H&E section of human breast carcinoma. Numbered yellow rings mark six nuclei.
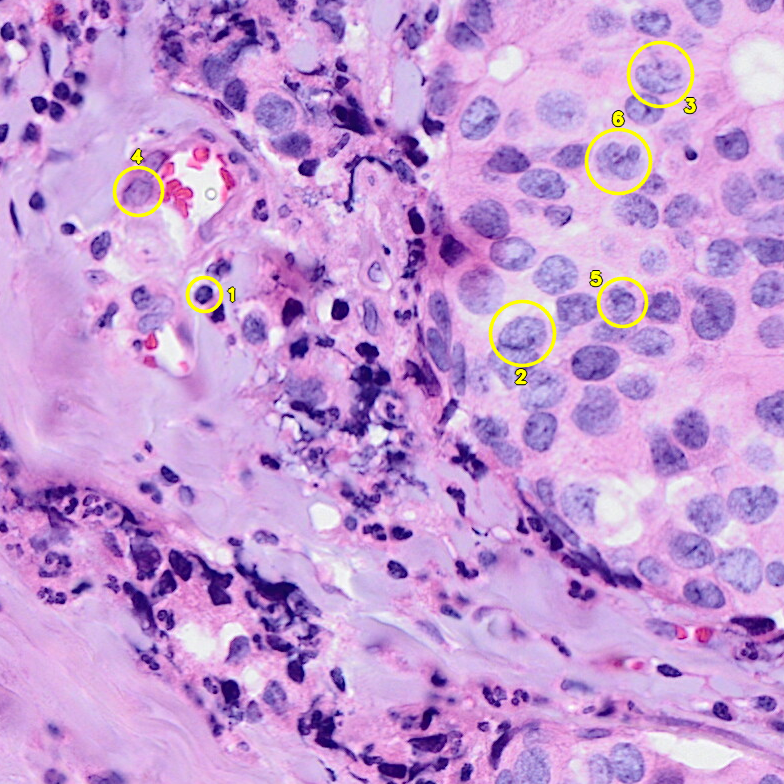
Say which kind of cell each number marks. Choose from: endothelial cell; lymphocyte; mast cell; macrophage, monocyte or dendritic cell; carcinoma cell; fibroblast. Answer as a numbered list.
1. lymphocyte
2. carcinoma cell
3. carcinoma cell
4. endothelial cell
5. carcinoma cell
6. carcinoma cell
